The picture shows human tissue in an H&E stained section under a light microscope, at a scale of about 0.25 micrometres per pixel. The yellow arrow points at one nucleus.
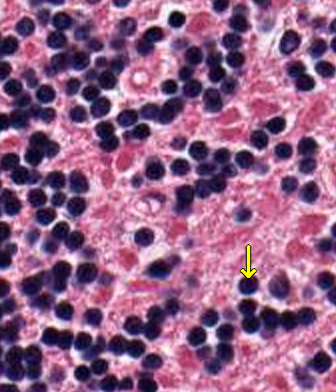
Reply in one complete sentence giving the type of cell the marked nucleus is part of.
The nucleus singled out by the mark belongs to a cerebellar granule cell.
